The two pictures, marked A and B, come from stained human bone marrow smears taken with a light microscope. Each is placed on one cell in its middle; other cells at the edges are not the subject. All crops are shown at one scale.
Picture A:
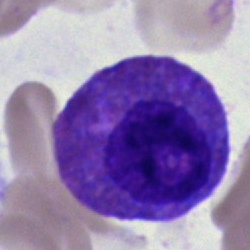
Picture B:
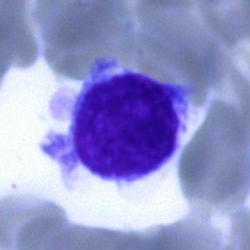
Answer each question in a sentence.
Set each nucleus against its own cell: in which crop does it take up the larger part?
The nucleus fills more of the cell in picture B than in picture A.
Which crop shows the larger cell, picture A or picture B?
Larger is the cell in picture A, at roughly 2 times the area of the other.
